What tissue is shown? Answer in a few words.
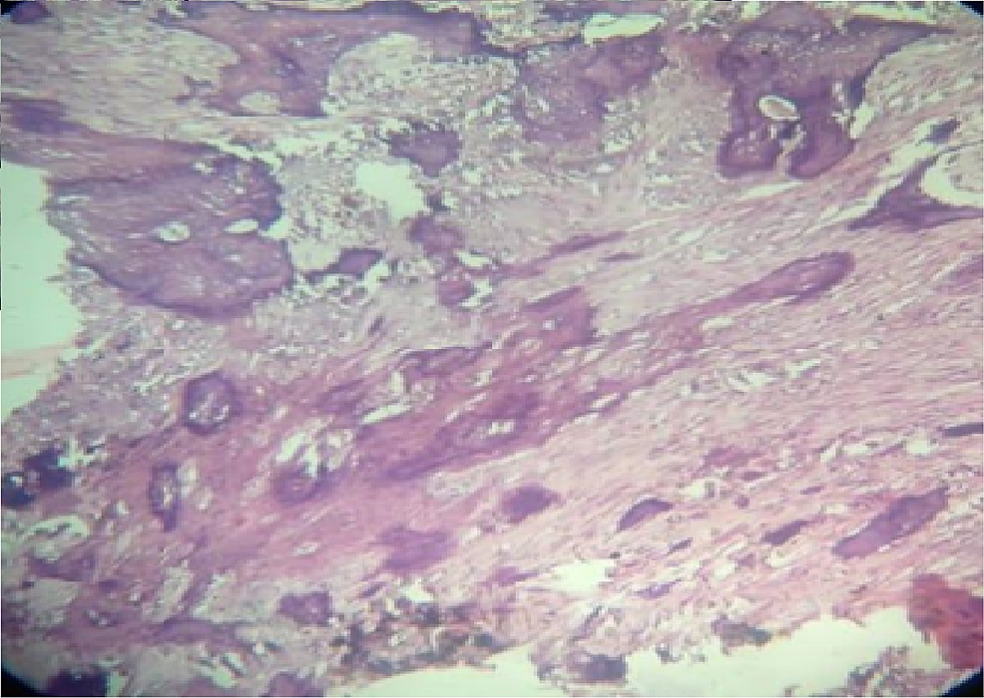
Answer: Cellular fibroblastic stroma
